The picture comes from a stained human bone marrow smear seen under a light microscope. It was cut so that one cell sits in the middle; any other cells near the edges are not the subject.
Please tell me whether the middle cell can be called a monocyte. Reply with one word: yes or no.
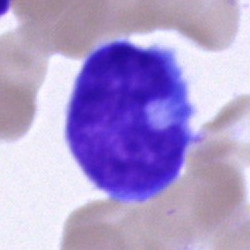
yes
